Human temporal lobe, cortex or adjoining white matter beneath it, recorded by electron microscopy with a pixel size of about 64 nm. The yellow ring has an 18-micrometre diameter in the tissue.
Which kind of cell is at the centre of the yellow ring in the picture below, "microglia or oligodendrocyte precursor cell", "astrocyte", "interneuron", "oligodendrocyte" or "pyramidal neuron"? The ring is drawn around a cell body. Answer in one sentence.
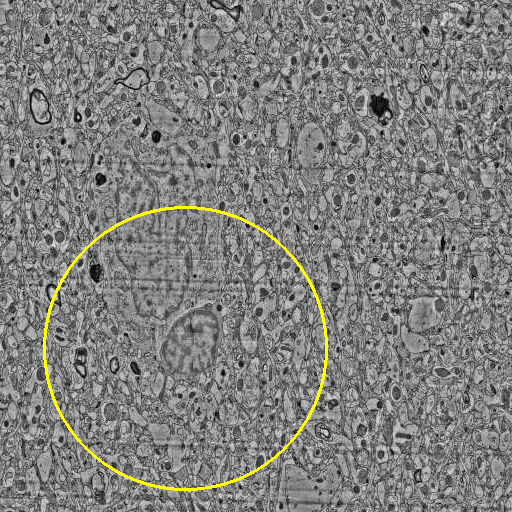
The ring's central cell is an oligodendrocyte.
